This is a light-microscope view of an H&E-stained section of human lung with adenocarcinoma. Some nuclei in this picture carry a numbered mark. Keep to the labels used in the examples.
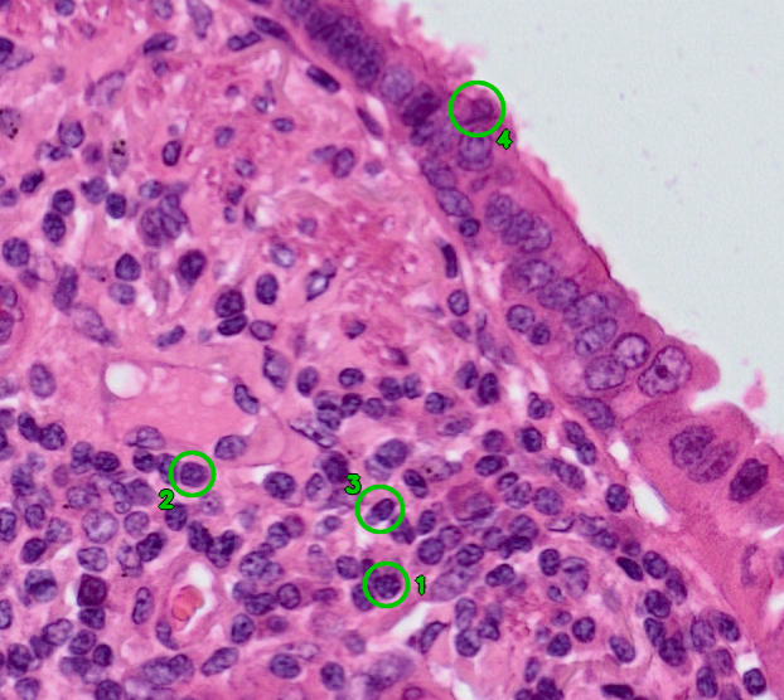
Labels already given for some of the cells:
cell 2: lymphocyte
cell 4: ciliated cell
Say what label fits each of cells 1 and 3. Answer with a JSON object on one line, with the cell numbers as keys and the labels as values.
{"1": "lymphocyte", "3": "lymphocyte"}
